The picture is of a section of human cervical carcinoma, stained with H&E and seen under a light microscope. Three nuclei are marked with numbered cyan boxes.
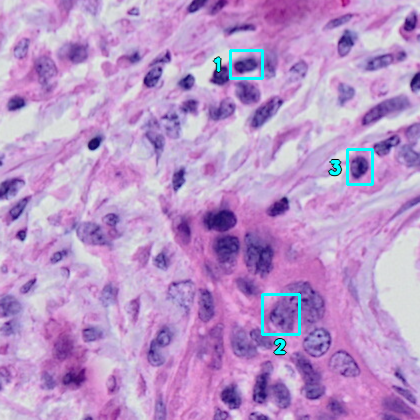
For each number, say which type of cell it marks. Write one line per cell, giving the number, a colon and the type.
1: lymphocyte
2: squamous carcinoma cell
3: lymphocyte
